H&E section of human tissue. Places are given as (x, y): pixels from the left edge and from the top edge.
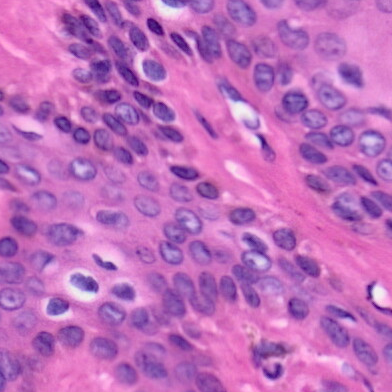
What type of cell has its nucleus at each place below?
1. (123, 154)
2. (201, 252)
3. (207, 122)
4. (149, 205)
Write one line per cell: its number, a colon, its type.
1: basal keratinocyte
2: suprabasal keratinocyte
3: fibroblast
4: suprabasal keratinocyte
